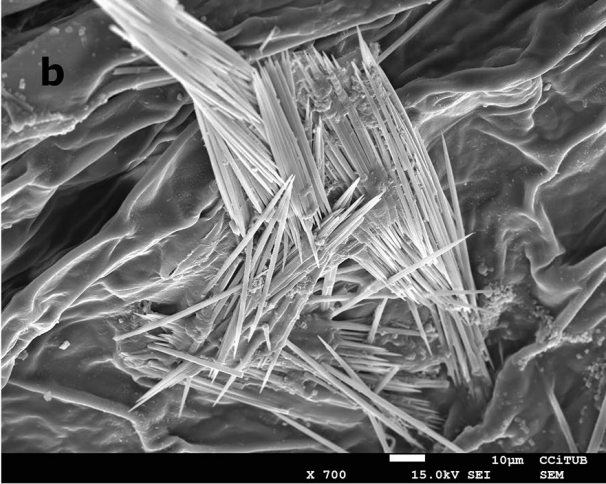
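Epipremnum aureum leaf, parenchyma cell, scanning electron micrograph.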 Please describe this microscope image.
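Here a large bunch of raphides lies exposed among the wrinkled, collapsed walls of leaf tissue. The raphides are very thin, straight needle-shaped crystals with sharp tapering tips. In the upper part many lie packed in parallel, like a sheaf, while toward the lower part they have spread and splayed out in many directions, crossing one another. Around the bundle the surrounding tissue is folded and creased, and a few small granular fragments cling to the crystals and nearby surfaces.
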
